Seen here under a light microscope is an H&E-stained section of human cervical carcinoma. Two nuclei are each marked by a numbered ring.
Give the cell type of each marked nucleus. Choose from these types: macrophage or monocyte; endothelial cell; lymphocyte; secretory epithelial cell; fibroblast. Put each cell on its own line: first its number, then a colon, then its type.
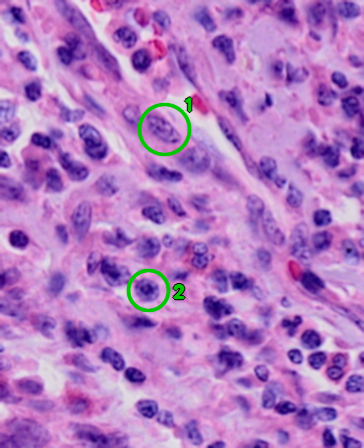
1: endothelial cell
2: lymphocyte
